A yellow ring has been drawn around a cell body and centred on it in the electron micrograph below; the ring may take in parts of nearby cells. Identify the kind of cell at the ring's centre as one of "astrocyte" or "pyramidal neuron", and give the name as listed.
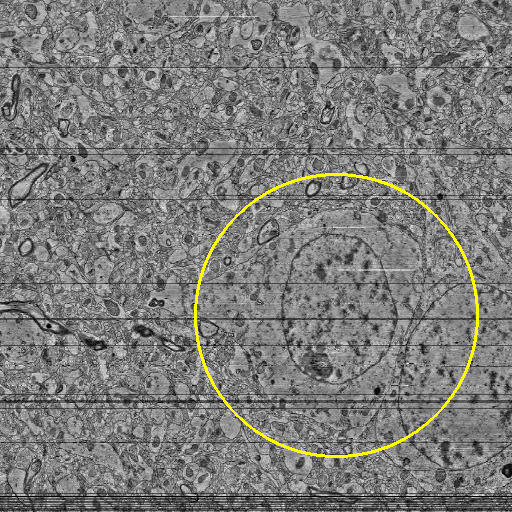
pyramidal neuron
